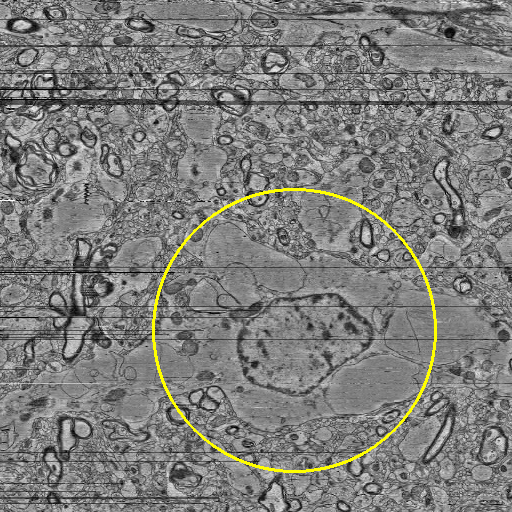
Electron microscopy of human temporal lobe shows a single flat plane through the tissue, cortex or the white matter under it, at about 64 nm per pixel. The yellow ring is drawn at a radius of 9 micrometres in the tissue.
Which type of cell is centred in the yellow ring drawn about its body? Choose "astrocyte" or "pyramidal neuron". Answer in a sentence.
The yellow ring surrounds the cell body of an astrocyte.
